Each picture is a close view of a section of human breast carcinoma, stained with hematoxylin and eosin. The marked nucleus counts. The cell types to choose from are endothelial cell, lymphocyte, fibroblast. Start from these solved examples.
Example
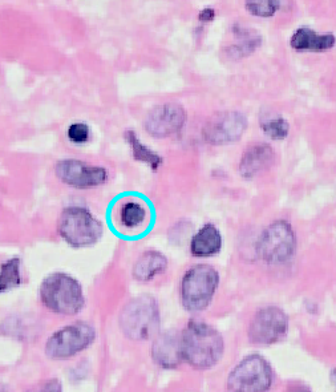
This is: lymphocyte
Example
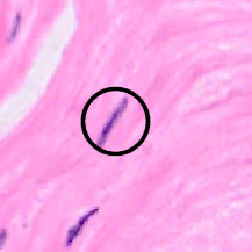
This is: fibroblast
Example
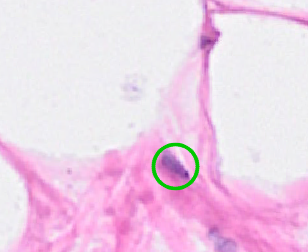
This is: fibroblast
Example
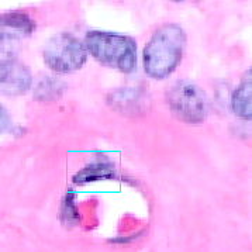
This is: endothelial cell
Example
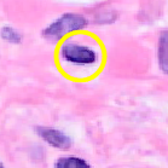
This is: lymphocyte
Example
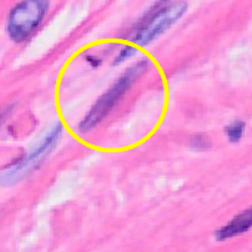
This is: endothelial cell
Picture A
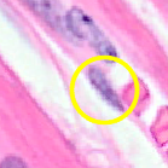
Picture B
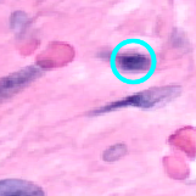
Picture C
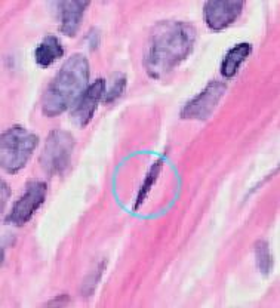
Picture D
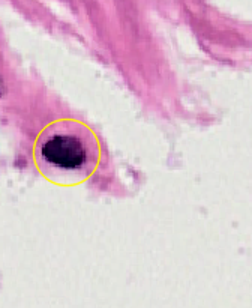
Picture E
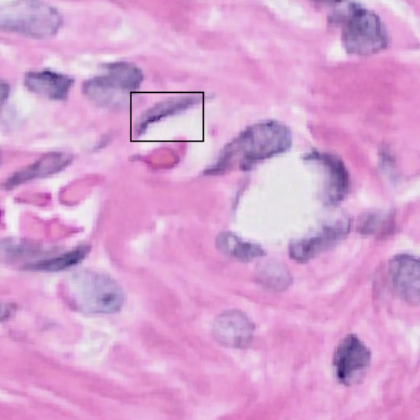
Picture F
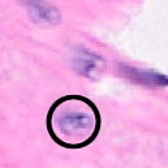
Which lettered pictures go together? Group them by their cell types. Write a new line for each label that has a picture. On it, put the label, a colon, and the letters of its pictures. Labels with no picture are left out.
endothelial cell: A, B, E, F
lymphocyte: D
fibroblast: C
